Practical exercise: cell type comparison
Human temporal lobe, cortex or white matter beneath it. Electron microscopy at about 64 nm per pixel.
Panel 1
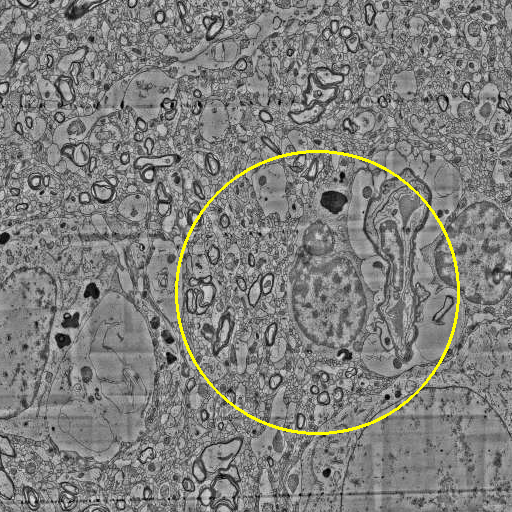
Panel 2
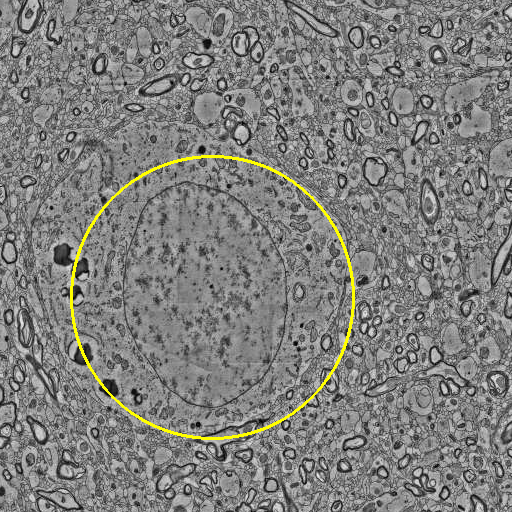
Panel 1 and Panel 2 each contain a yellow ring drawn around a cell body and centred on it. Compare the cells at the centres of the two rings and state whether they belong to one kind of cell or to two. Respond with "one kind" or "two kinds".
two kinds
